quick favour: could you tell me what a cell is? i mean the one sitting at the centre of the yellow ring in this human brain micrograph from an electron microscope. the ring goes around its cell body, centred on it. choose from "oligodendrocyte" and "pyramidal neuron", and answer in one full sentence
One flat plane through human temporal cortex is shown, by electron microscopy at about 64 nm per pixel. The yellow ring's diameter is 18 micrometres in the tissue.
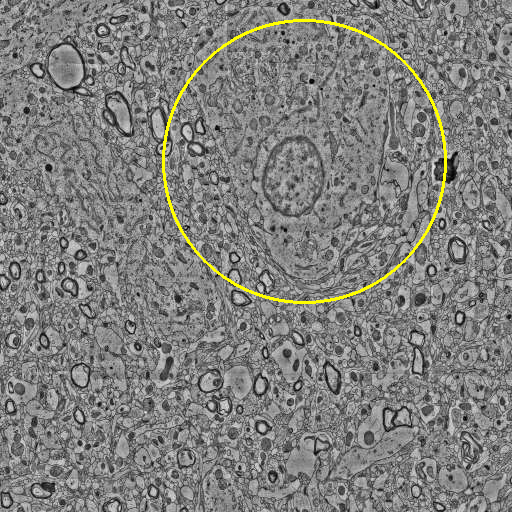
That's a pyramidal neuron, the cell sitting at the centre of the yellow ring.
